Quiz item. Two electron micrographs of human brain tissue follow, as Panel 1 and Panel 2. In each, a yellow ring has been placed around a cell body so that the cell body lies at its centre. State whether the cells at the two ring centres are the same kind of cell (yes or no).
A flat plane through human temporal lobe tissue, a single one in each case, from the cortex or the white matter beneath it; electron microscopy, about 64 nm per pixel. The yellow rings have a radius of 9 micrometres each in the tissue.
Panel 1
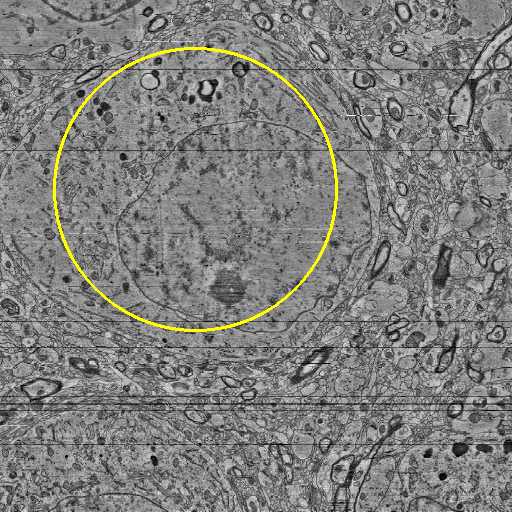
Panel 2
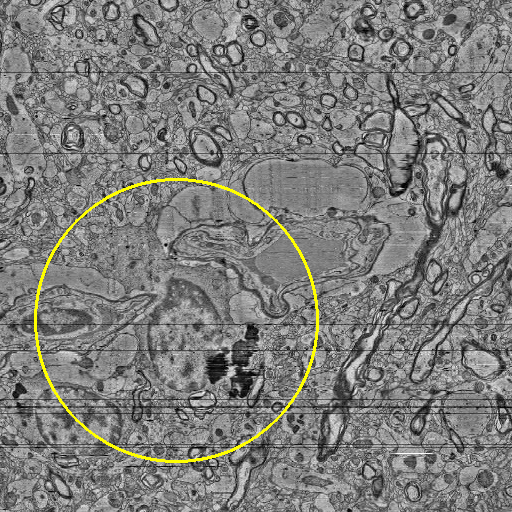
no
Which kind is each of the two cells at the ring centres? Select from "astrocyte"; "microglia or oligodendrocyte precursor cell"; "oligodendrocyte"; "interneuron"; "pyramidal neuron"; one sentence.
The cell at the centre of the ring is a pyramidal neuron in the first picture and an oligodendrocyte in the second.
